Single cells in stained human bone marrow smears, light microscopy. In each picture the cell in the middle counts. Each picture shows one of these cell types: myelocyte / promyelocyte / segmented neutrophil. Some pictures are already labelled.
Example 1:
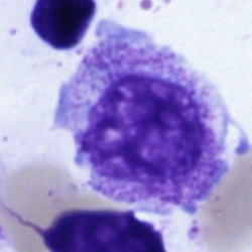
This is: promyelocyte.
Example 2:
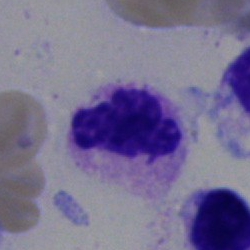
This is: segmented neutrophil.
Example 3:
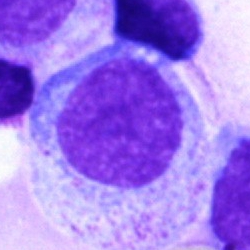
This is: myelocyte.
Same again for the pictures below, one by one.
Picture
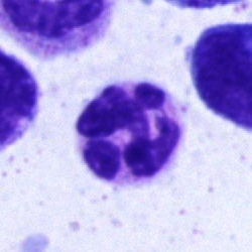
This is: segmented neutrophil.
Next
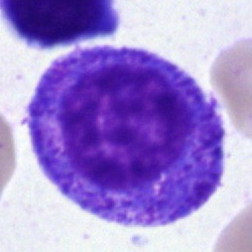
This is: promyelocyte.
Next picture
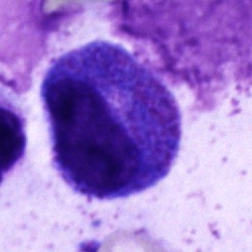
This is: promyelocyte.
